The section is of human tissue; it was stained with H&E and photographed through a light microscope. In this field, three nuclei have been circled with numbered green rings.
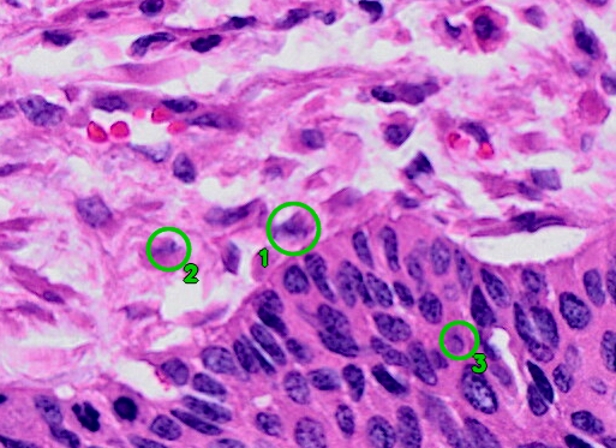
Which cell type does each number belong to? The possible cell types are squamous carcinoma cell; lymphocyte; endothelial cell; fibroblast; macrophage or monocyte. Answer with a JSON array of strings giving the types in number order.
["fibroblast", "fibroblast", "squamous carcinoma cell"]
